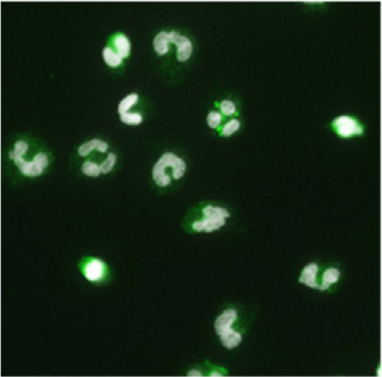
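Scattered round neutrophils lie apart from one another, each with a white nucleus split into several lobes or bent into a horseshoe. Green staining lies around the nuclei within the cell bodies, often bright at the cell edge and in patches between lobes. A few cells appear as compact, intensely bright green and white spots. The pattern places the green in the cytoplasm surrounding the lobulated nuclei.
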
